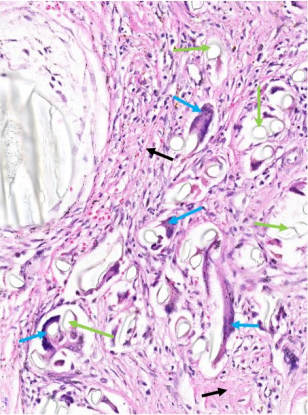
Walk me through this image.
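The fragments appear as sharply outlined empty or pale spaces of varying size, round to elongated. Between the fragments lies pink collagen-rich stroma with scattered spindle-shaped nuclei and a few small vessels. At the left edge a large clear space is bordered by a band of more compact fibrous tissue.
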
